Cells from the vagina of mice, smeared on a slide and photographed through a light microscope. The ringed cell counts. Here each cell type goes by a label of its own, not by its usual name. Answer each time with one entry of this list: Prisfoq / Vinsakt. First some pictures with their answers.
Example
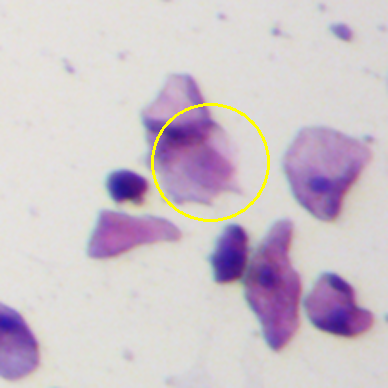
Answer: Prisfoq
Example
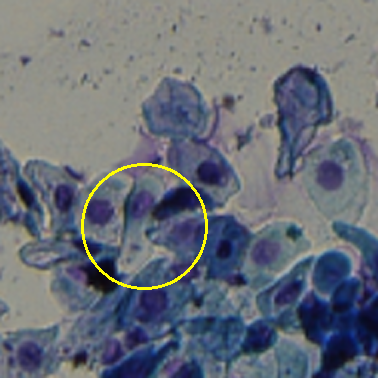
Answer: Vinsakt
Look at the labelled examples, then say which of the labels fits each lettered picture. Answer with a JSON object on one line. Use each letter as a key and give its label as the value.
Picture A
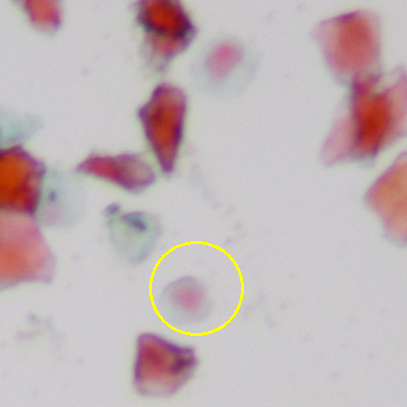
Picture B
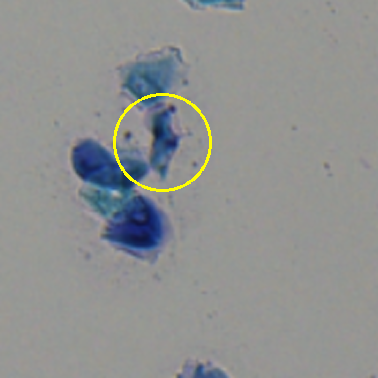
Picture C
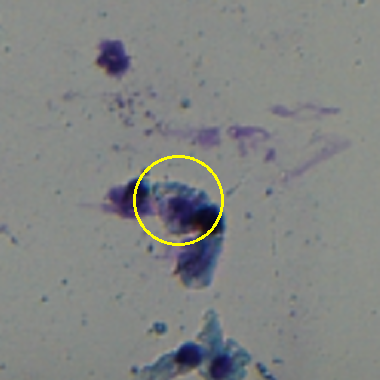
{"A": "Vinsakt", "B": "Prisfoq", "C": "Vinsakt"}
